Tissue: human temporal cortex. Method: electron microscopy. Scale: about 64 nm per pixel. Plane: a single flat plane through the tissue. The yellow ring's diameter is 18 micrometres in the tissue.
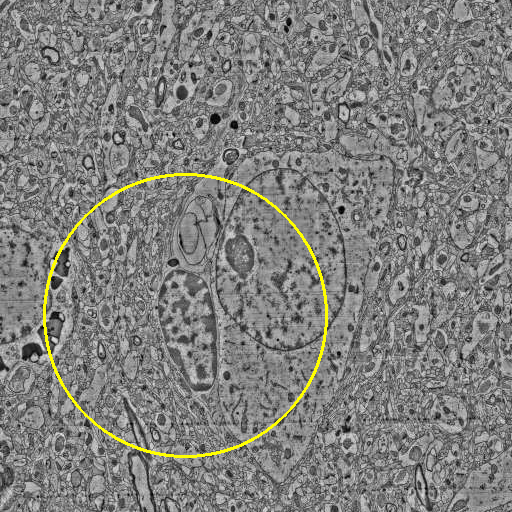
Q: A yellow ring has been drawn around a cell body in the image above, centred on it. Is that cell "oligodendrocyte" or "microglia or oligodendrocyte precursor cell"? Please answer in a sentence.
The ring surrounds the cell body of a microglial cell or oligodendrocyte precursor cell.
